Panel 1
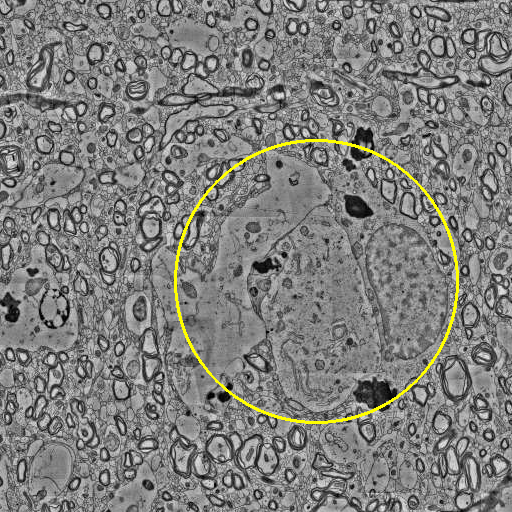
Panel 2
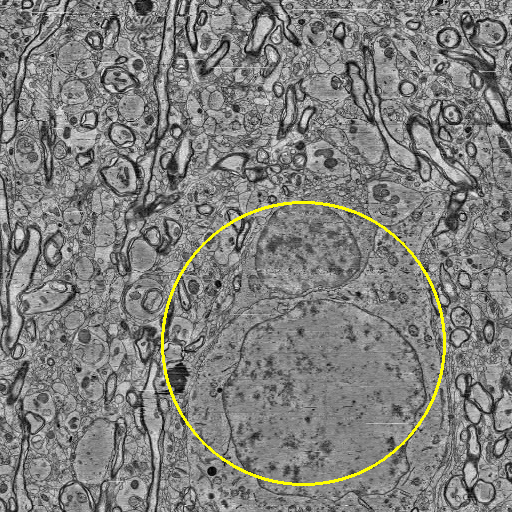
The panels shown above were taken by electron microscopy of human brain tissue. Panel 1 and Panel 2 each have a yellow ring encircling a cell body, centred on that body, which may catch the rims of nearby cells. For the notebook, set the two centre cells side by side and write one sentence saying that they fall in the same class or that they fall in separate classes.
The centred cells of Panel 1 and Panel 2 fall in the same class.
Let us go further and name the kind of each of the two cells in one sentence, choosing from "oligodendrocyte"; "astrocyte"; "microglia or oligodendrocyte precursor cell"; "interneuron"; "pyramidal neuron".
The first and the second cell are each a pyramidal neuron.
